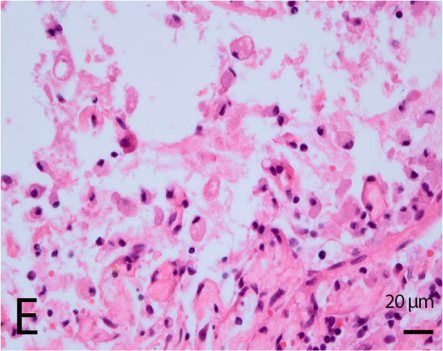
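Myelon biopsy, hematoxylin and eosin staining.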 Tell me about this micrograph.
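The macrophages are rounded or polygonal cells with abundant pink cytoplasm and a single round to oval purple nucleus. They lie singly and loosely in a pale, vacuolated background. Between them are irregular pink fragments of disintegrated tissue and some small dark nuclei. No organised neural tissue architecture is preserved.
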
